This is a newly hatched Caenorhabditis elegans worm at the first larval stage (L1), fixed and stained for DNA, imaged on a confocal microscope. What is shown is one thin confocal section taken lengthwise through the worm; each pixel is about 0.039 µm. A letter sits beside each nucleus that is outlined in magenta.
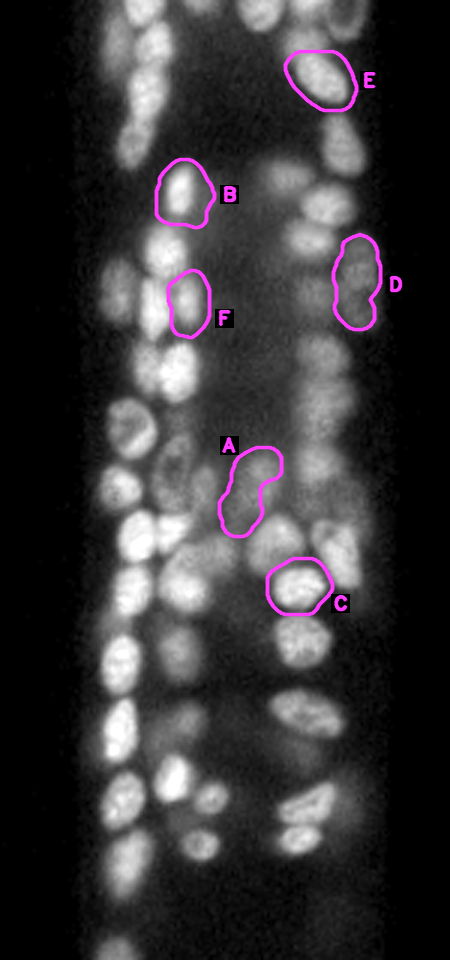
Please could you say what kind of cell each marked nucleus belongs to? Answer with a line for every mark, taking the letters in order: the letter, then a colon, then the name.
A: pharyngeal marginal cell
B: GLR cell
C: neuron
D: hypodermal cell (hyp)
E: neuron
F: neuron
